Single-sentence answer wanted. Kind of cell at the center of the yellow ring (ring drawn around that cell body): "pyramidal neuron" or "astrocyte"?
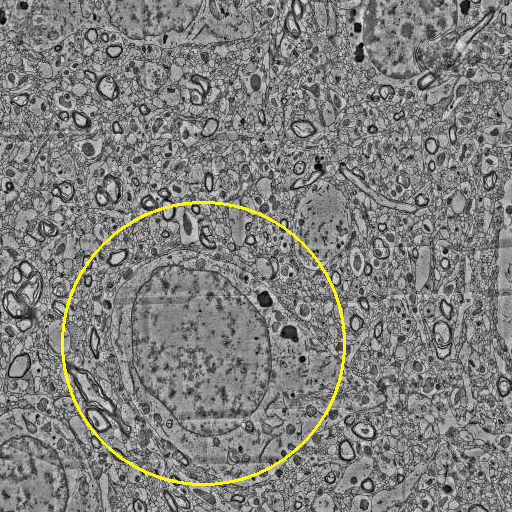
The cell centered in the ring is a pyramidal neuron.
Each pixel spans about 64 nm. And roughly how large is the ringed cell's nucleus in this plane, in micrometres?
About 11 by 9 micrometers, in this plane.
